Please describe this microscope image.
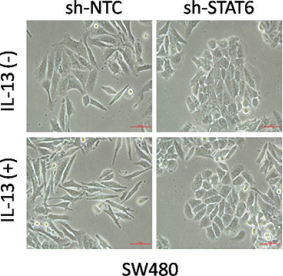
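These are cultured cells seen in four phase-contrast fields, and the two columns differ clearly in cell shape and arrangement. In the left column, the cells are mostly elongated and spindle-shaped, with tapering ends. They lie loosely scattered, with gaps between them. In the right column, the cells are rounder and polygonal and pack tightly side by side in compact clusters, giving a cobblestone-like epithelial appearance.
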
